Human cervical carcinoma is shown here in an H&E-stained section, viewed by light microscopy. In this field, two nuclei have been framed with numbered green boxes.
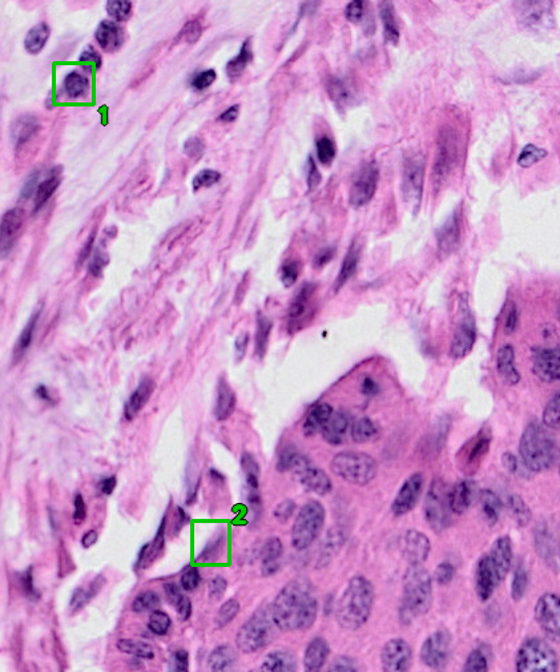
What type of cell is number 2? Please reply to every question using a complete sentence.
The correct answer for cell 2 is a squamous carcinoma cell.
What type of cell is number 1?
Here the cell numbered 1 is a lymphocyte.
